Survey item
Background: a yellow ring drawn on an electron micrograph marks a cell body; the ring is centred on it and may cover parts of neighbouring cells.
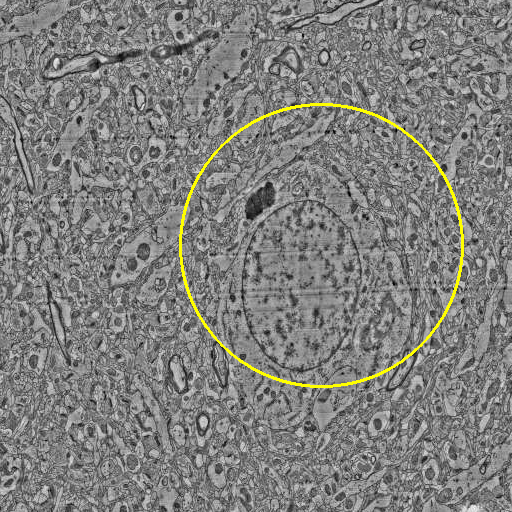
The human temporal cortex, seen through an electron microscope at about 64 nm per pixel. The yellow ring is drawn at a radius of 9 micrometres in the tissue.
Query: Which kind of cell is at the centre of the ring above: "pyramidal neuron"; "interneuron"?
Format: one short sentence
The cell in the middle of the ring is a pyramidal neuron.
